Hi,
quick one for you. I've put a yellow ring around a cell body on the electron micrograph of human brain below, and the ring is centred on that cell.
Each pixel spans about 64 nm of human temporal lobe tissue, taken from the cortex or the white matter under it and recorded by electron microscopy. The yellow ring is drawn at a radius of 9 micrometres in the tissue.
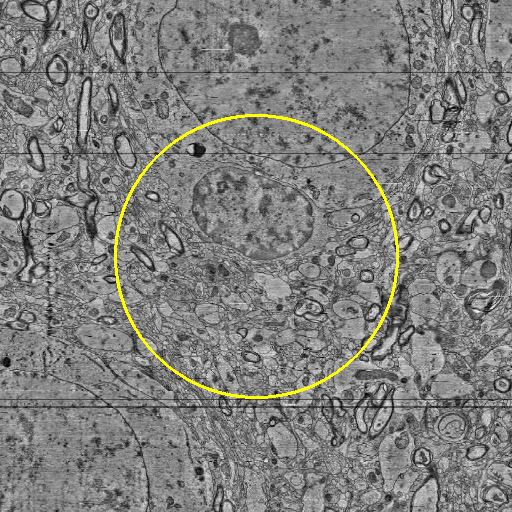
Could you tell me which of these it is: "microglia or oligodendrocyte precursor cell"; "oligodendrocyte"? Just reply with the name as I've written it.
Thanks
oligodendrocyte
